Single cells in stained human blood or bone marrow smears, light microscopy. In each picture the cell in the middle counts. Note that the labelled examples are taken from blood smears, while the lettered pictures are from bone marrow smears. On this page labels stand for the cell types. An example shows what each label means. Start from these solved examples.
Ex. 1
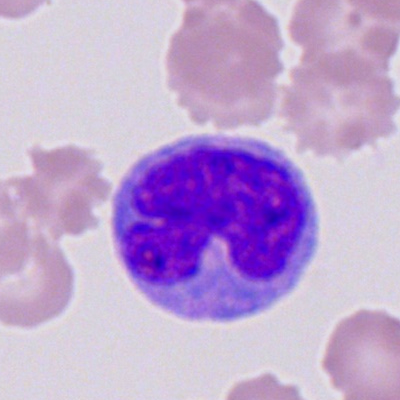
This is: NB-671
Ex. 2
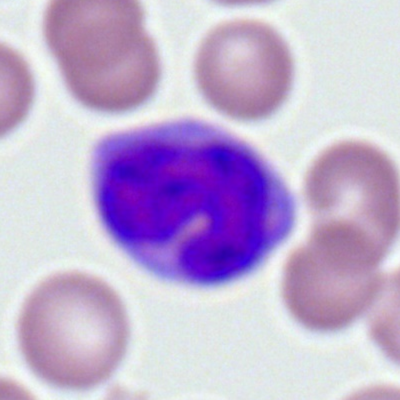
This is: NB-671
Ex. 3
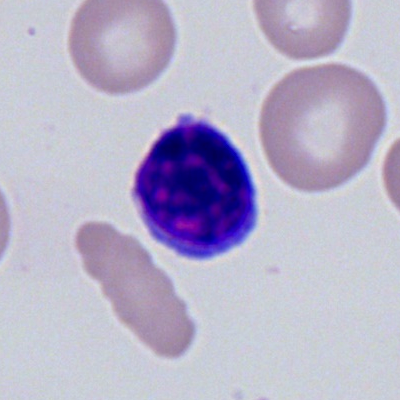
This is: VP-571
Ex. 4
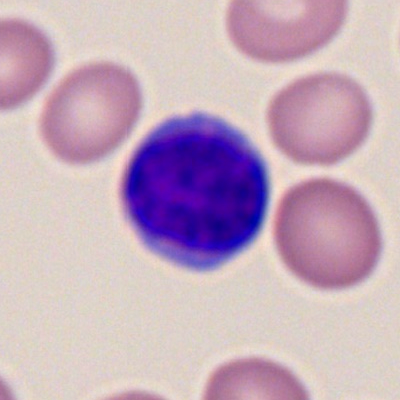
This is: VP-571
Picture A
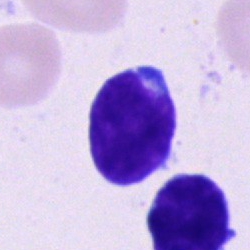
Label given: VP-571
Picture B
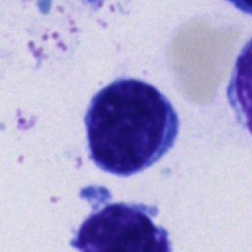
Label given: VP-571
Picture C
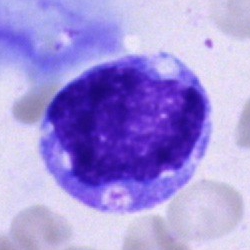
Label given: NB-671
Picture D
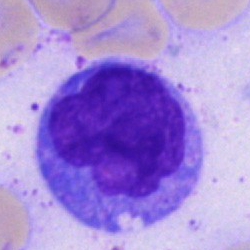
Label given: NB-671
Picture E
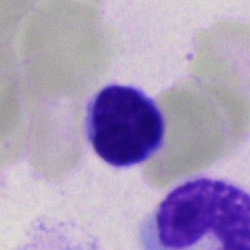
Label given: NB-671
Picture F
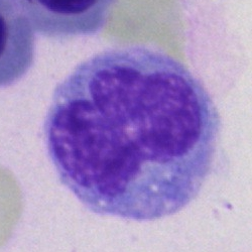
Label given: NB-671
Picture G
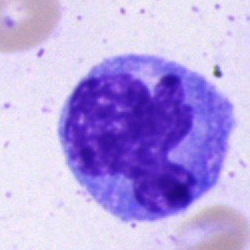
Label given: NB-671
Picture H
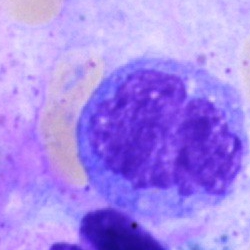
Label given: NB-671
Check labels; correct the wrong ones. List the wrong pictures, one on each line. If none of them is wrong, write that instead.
E should be VP-571, not NB-671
